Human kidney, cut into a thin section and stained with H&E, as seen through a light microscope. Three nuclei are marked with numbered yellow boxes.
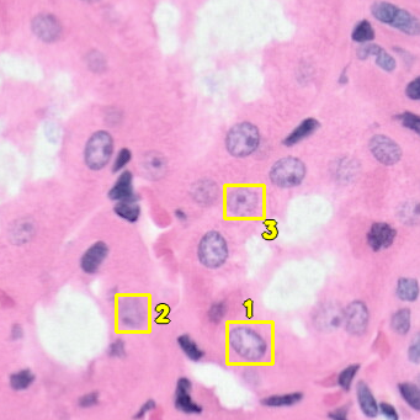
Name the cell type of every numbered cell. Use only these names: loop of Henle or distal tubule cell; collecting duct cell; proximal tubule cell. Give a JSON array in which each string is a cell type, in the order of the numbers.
["proximal tubule cell", "loop of Henle or distal tubule cell", "proximal tubule cell"]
